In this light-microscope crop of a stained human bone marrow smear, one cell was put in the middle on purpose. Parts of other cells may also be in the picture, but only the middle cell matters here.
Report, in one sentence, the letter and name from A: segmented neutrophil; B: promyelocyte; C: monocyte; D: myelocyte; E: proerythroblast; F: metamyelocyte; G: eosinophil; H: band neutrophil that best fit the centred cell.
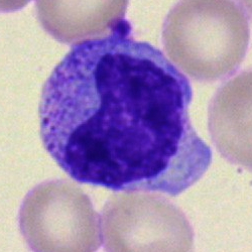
That cell in the center is a metamyelocyte, hence option F.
